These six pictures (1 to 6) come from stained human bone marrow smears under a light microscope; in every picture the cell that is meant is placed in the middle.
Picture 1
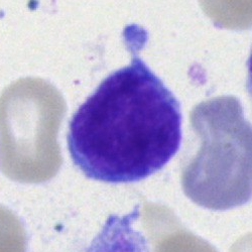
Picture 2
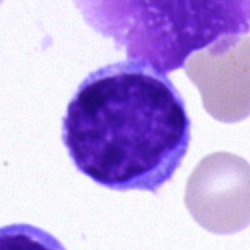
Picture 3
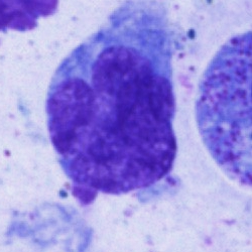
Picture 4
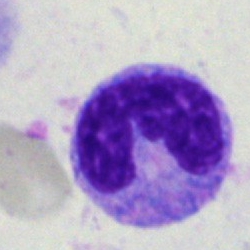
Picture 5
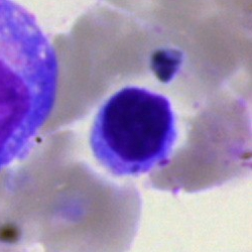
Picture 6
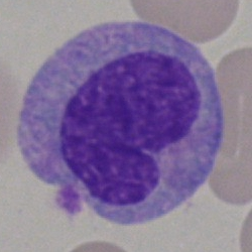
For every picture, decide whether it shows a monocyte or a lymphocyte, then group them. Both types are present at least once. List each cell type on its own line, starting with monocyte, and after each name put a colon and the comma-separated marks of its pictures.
monocyte: 3, 4, 6
lymphocyte: 1, 2, 5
